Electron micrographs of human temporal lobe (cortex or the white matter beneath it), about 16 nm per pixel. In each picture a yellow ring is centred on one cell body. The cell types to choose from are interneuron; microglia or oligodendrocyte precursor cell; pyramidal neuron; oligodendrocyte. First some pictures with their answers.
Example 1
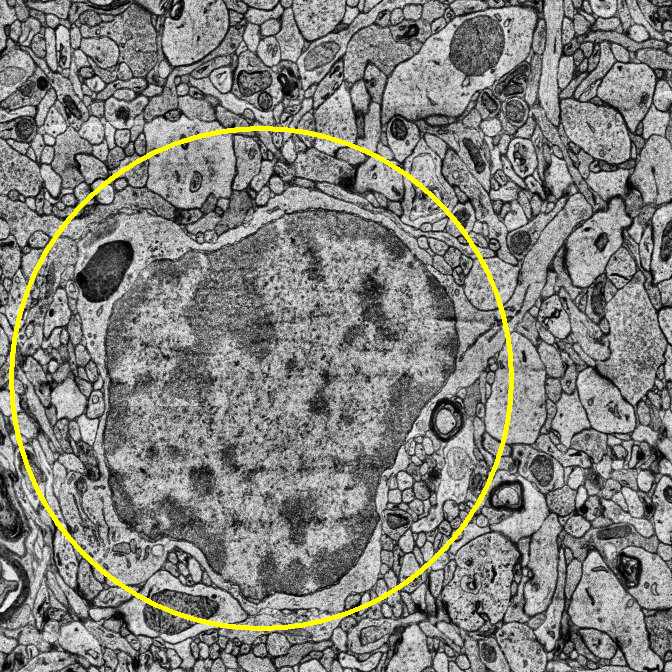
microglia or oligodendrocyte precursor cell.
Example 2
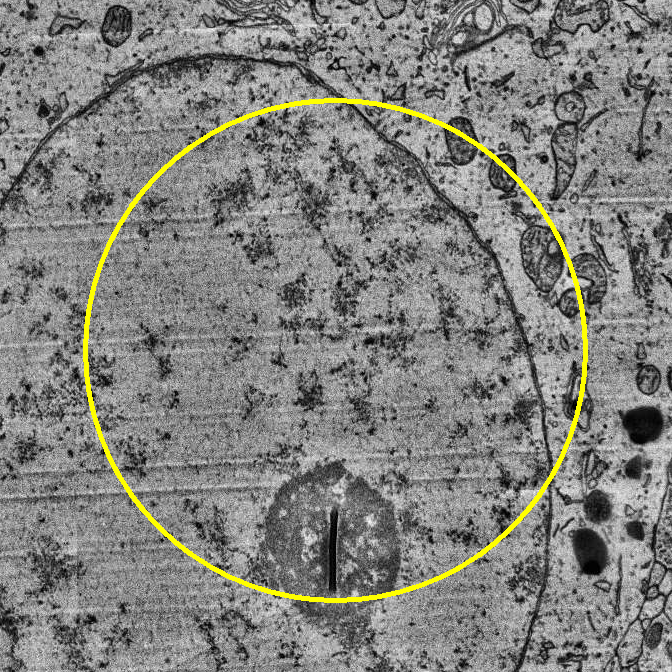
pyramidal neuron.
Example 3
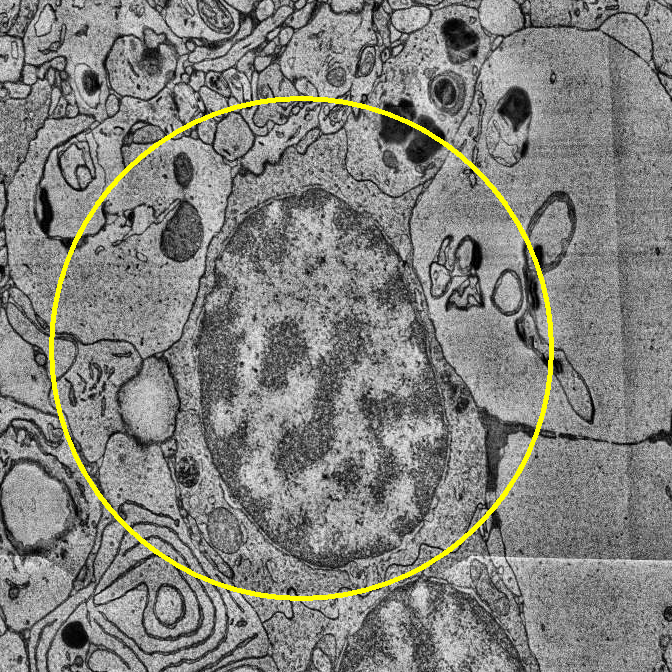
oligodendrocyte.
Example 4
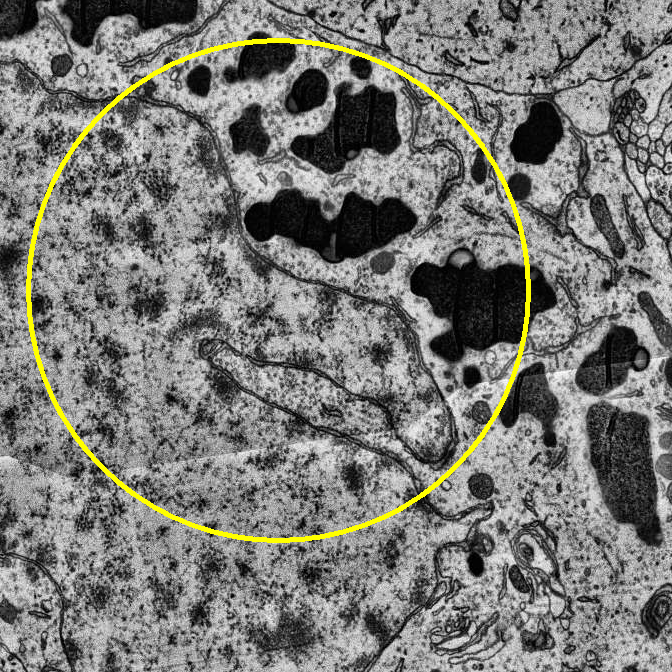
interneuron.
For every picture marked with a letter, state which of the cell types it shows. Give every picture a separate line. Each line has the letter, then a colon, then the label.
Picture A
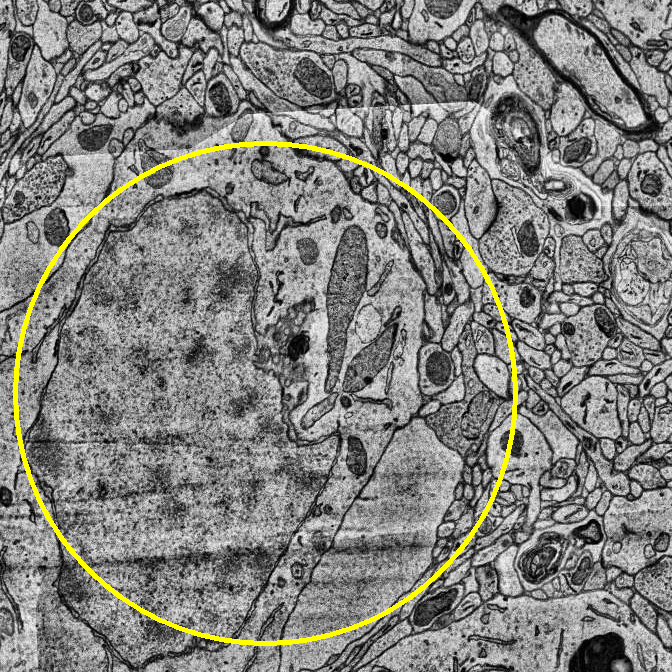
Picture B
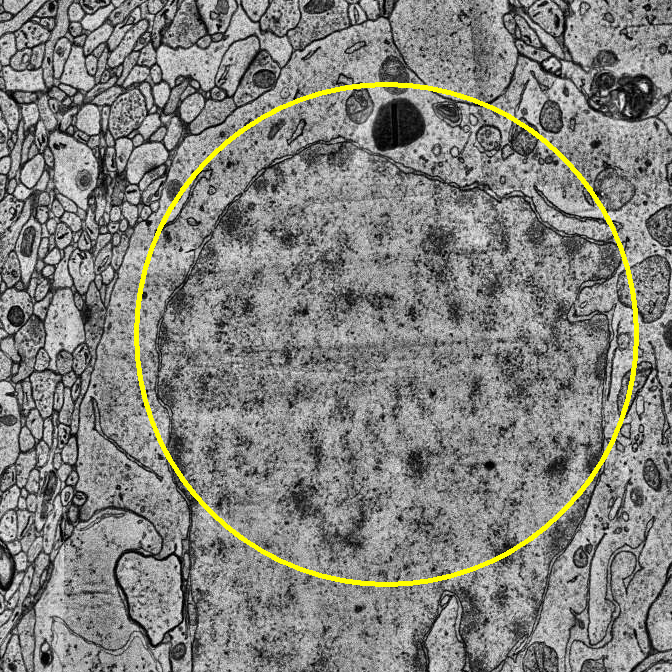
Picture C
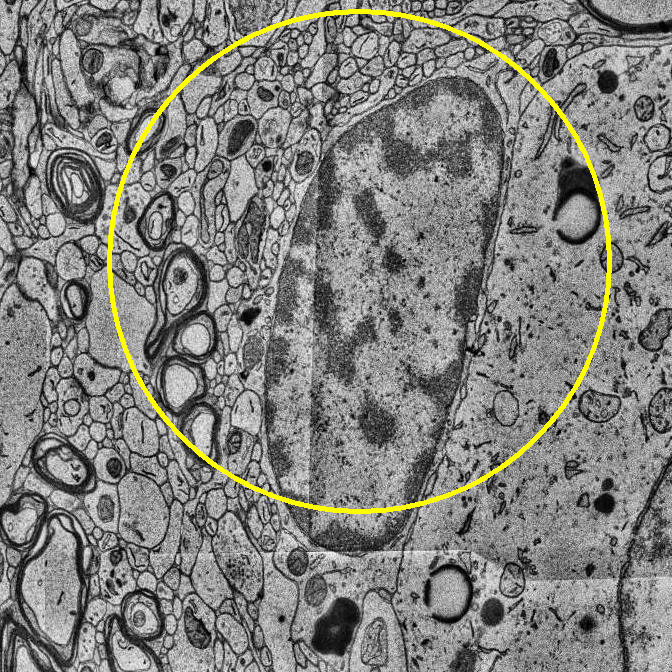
A: interneuron.
B: interneuron.
C: microglia or oligodendrocyte precursor cell.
